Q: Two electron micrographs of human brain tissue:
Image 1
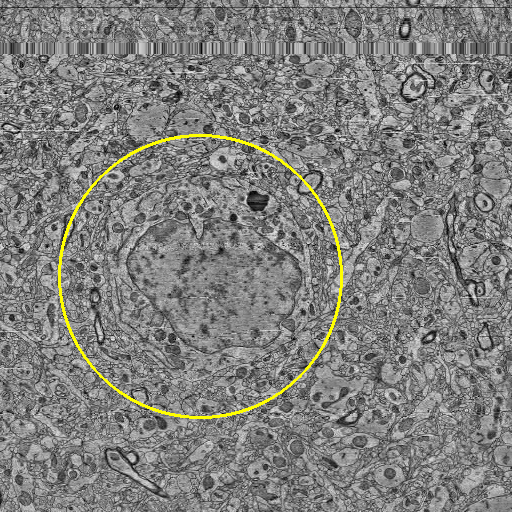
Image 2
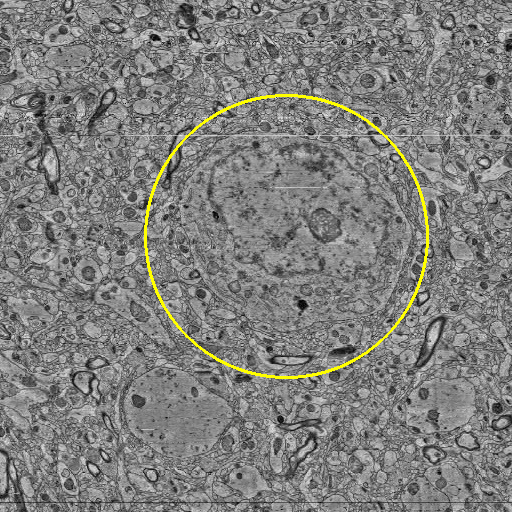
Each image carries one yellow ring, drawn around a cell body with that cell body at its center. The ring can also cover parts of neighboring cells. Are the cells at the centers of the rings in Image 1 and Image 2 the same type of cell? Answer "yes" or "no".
yes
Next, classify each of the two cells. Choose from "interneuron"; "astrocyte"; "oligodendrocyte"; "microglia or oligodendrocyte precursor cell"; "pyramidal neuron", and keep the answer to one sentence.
The second cell is an interneuron, just as the first is.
